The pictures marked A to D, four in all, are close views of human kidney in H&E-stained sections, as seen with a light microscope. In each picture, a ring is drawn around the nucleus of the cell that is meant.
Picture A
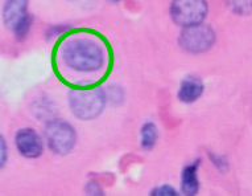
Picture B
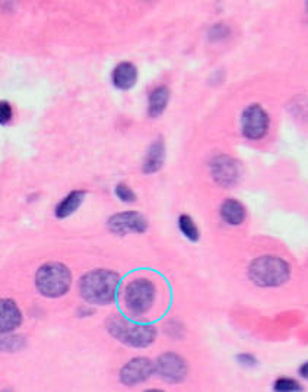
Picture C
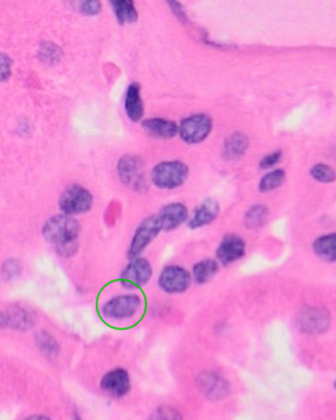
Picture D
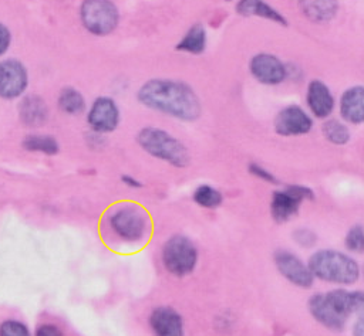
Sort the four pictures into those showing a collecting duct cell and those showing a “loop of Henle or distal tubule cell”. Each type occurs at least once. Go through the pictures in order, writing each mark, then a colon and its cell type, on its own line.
A: collecting duct cell
B: collecting duct cell
C: collecting duct cell
D: loop of Henle or distal tubule cell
